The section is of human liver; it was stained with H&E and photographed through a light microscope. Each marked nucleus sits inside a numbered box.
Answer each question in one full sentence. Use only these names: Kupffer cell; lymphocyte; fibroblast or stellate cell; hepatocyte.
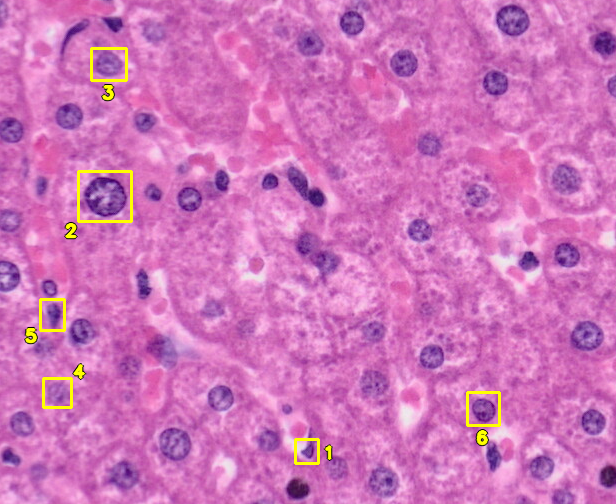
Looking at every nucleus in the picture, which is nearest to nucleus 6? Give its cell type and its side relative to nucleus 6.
Just below nucleus 6 lies the nearest nucleus, which belongs to a lymphocyte.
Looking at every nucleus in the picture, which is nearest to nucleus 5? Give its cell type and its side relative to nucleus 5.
Lying above nucleus 5, the nearest nucleus is that of a Kupffer cell.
